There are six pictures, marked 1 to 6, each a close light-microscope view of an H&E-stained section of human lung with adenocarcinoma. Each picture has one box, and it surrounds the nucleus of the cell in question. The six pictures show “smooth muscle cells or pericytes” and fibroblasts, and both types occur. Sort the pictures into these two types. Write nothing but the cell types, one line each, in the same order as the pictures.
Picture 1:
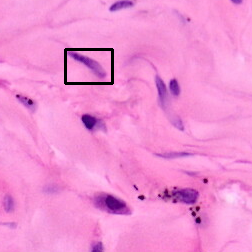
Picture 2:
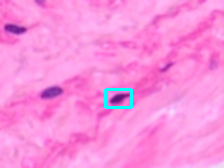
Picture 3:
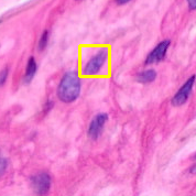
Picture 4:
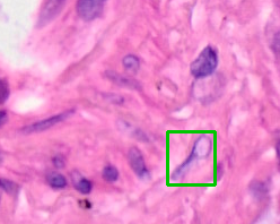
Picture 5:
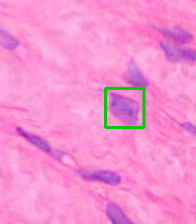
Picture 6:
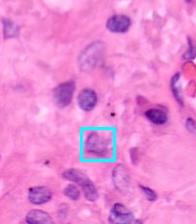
fibroblast
smooth muscle cell or pericyte
smooth muscle cell or pericyte
fibroblast
smooth muscle cell or pericyte
fibroblast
